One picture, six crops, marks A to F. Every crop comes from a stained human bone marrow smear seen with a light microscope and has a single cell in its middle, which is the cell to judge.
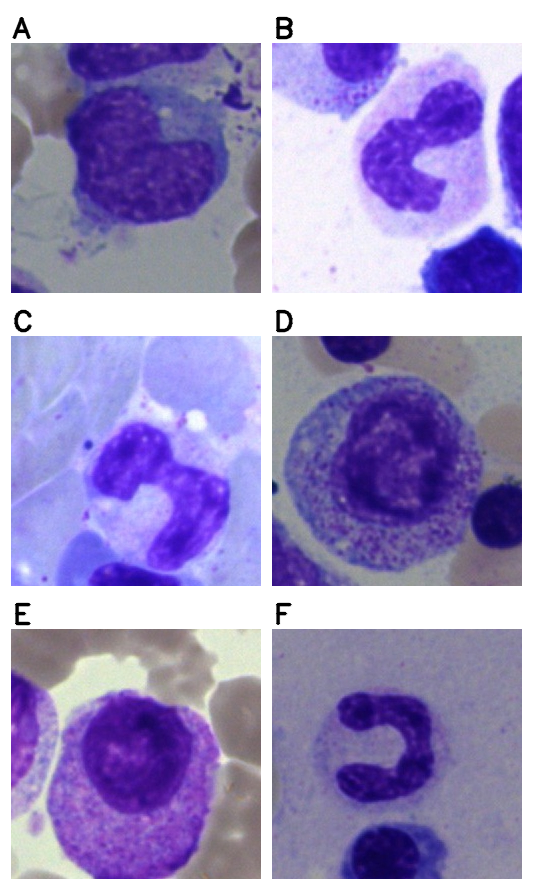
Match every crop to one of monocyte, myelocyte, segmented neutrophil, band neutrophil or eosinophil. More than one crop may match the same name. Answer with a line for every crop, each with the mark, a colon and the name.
A: monocyte
B: band neutrophil
C: band neutrophil
D: myelocyte
E: myelocyte
F: segmented neutrophil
